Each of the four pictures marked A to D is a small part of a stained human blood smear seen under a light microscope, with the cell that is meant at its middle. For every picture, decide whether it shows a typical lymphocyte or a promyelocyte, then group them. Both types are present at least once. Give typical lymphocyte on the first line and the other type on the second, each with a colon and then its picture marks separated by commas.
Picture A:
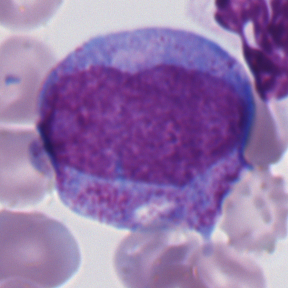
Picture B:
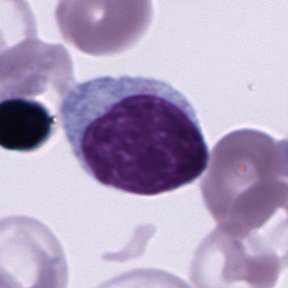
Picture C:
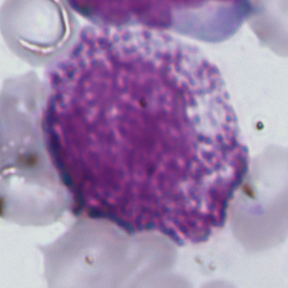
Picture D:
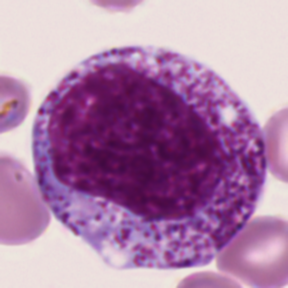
typical lymphocyte: B
promyelocyte: A, C, D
